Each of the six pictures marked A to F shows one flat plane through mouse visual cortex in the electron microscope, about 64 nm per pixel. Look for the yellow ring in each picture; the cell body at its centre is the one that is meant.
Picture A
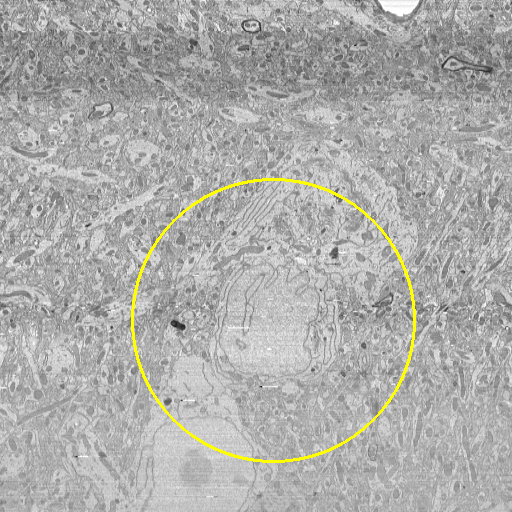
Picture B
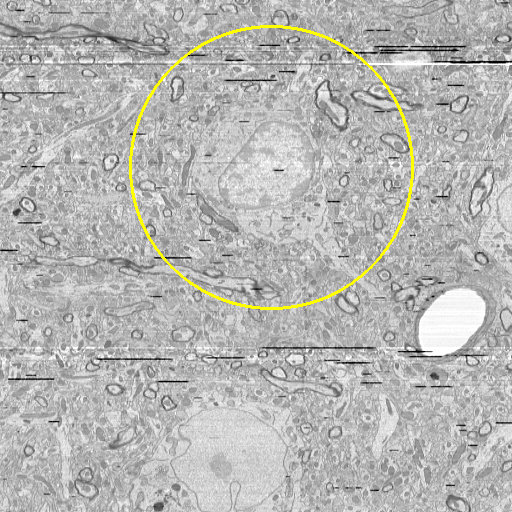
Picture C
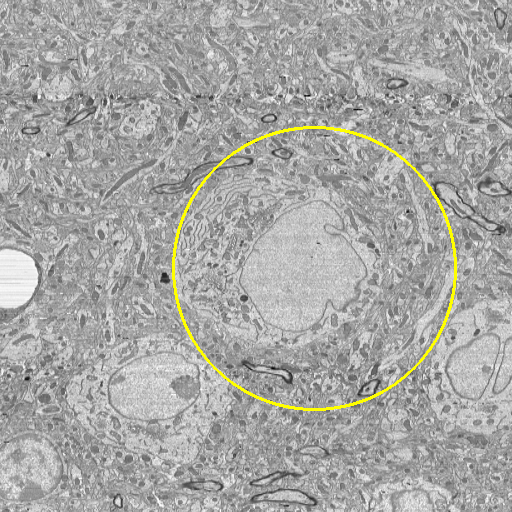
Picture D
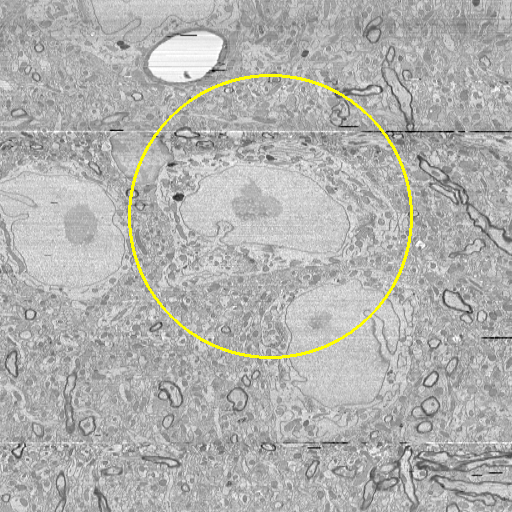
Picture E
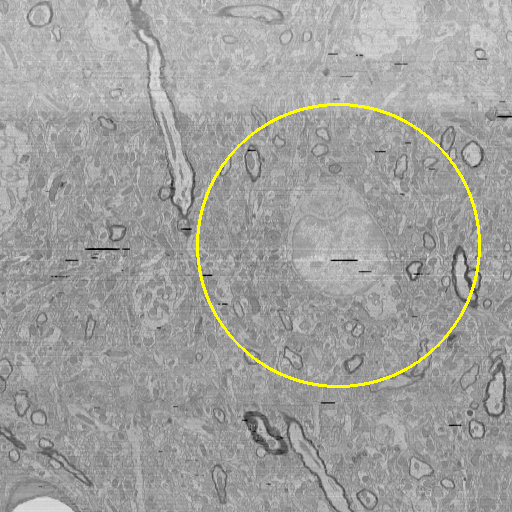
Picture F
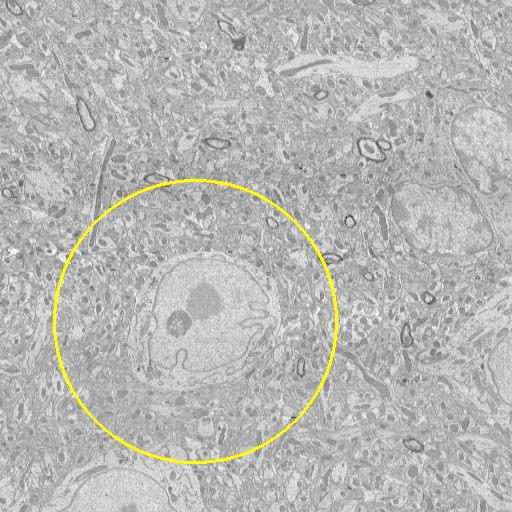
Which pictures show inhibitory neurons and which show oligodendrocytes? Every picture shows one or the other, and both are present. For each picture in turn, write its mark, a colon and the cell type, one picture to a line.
A: inhibitory neuron
B: oligodendrocyte
C: inhibitory neuron
D: inhibitory neuron
E: oligodendrocyte
F: inhibitory neuron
